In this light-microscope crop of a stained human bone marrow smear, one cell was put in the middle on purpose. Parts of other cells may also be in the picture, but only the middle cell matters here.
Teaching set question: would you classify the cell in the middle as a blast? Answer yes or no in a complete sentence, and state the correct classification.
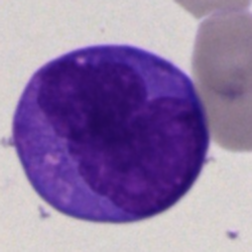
Yes, centred in the crop is a blast.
